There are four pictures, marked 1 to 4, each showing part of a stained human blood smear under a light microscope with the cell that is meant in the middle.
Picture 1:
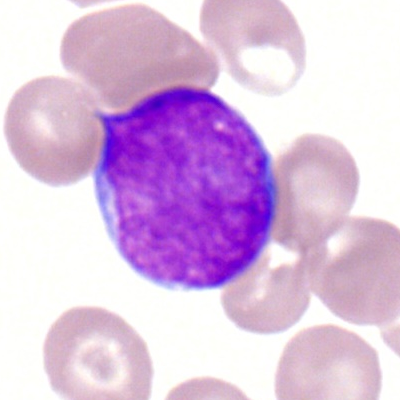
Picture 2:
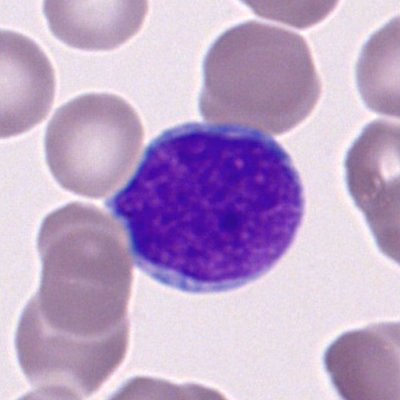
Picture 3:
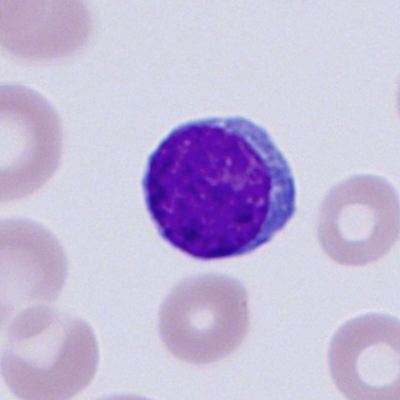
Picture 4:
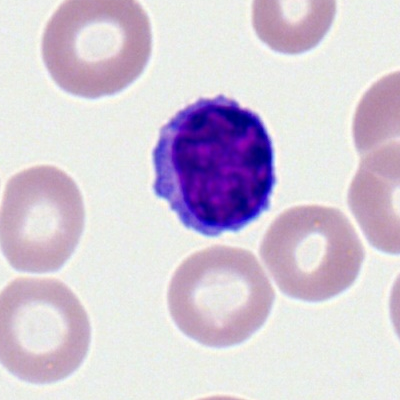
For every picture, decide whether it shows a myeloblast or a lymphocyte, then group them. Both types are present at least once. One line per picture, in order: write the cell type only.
myeloblast
myeloblast
lymphocyte
lymphocyte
